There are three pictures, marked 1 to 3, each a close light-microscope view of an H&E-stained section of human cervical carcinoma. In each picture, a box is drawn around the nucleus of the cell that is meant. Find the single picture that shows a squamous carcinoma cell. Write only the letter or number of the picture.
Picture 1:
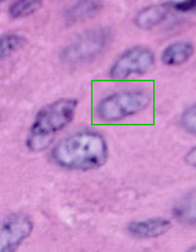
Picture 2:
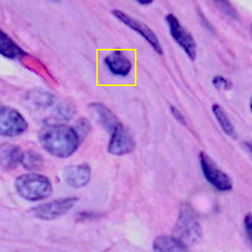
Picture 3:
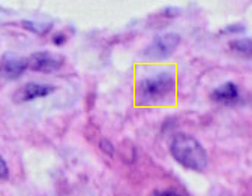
1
